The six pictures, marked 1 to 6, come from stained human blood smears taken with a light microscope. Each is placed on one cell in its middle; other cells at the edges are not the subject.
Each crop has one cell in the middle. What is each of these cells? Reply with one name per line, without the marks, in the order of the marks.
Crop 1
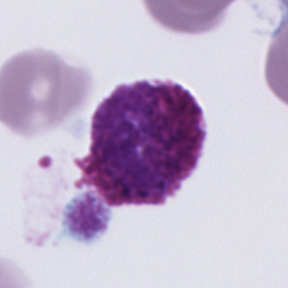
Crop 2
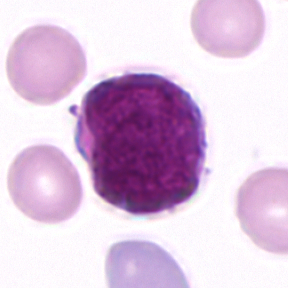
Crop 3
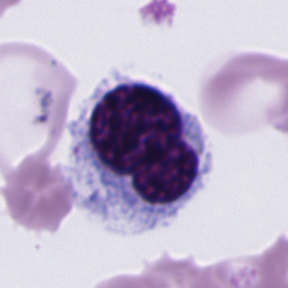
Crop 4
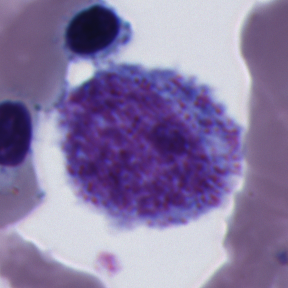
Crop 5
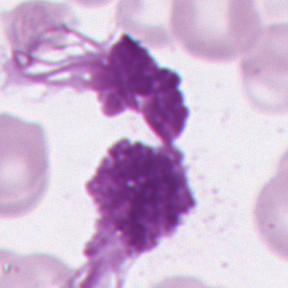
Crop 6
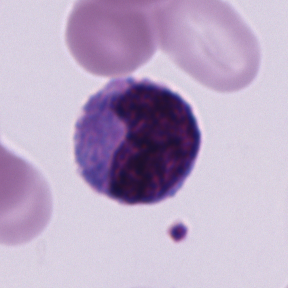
eosinophil
atypical promyelocyte
normoblast
promyelocyte
smudge cell
monocyte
